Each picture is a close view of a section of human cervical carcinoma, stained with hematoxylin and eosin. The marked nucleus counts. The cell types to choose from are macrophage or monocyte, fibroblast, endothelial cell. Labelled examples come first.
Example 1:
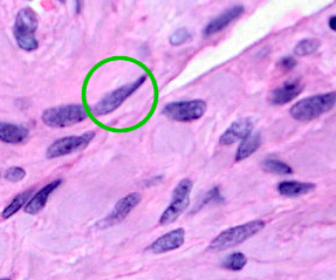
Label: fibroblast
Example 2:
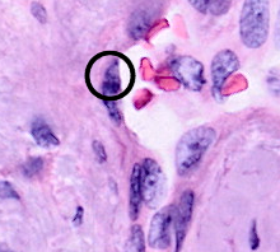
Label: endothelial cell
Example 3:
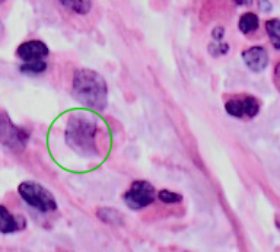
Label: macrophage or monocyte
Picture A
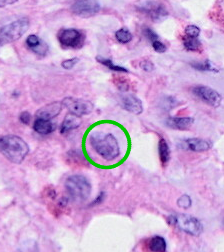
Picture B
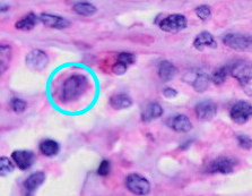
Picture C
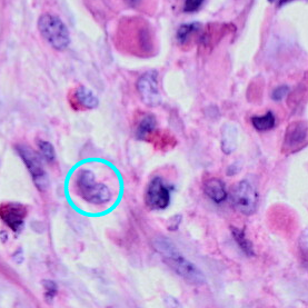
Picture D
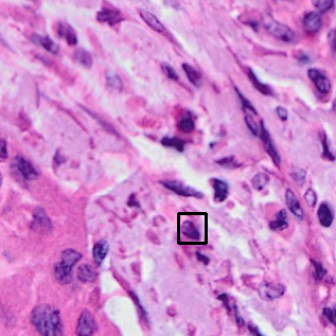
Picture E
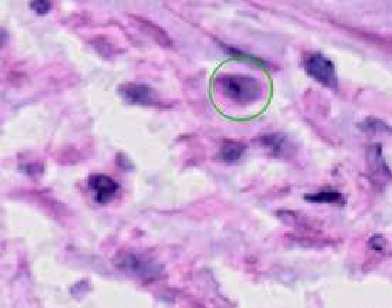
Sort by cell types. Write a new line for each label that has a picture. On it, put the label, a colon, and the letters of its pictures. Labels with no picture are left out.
macrophage or monocyte: A, B, C, D, E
